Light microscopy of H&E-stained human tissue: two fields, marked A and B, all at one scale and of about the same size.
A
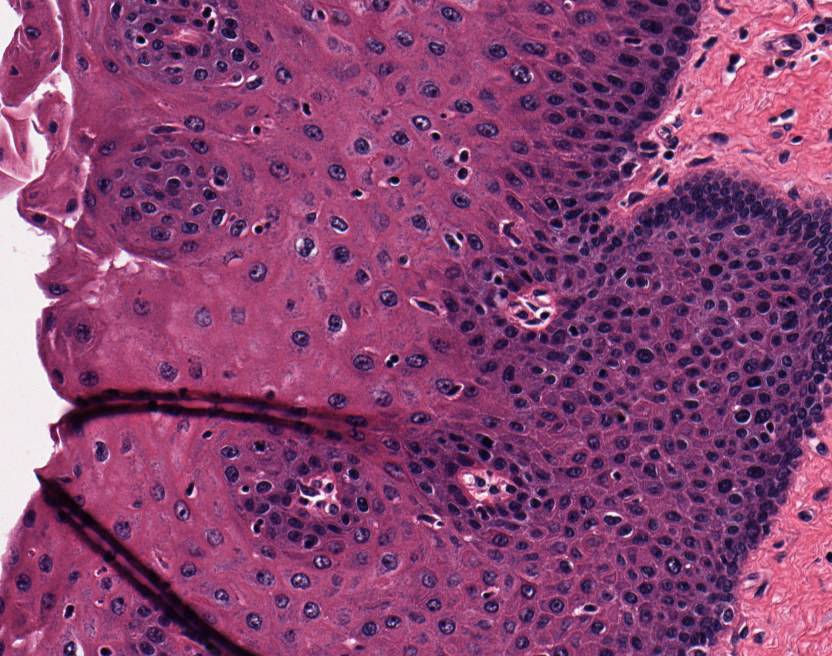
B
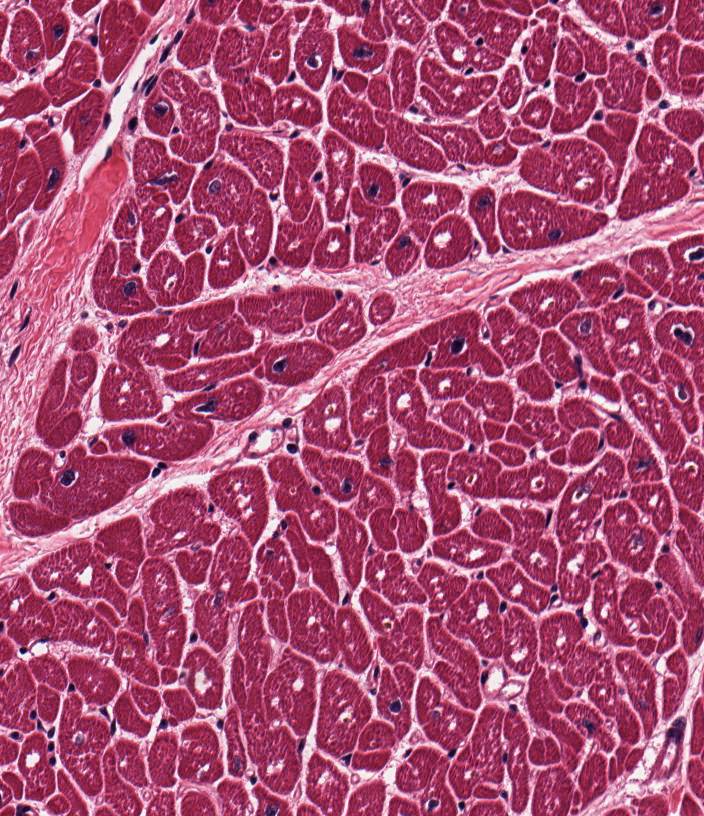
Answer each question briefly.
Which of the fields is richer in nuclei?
A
